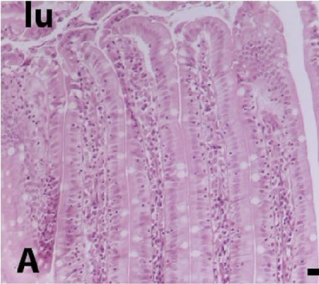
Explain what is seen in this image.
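This section shows the mucosa of the intestine with tall, slender villi standing side by side and projecting toward the lumen at the top. Each villus is covered by a single continuous layer of tall columnar epithelial cells whose elongated purple nuclei lie in a row toward the base of the cells. Scattered among the columnar cells are pale, rounded, clear goblet cells. The core of each villus holds a loose connective tissue with many small, densely stained nuclei. The surface of the villi is smooth and intact, and the spaces between neighbouring villi are clean.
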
